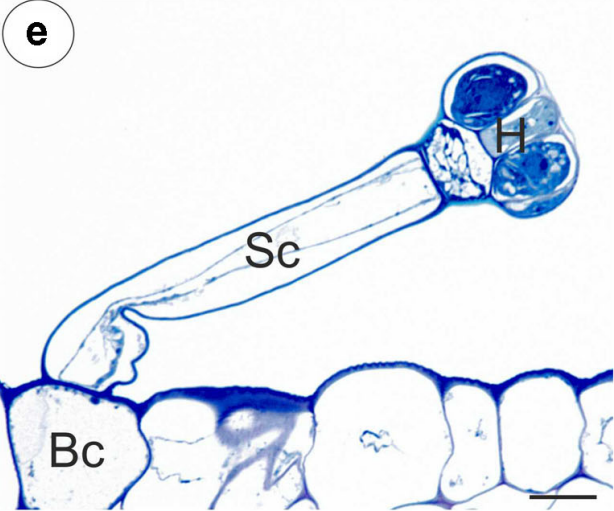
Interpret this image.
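This section shows a capitate glandular trichome arising from the epidermis. It sits on an enlarged, pale basal cell within the row of epidermal cells, which have a thick darkly stained outer wall. Above it a single long, narrow, highly vacuolated stalk cell with thin walls runs obliquely upward. At its tip a short neck cell with folded, darker contents carries a rounded head of a few cells whose dense cytoplasm stains deep blue, unlike the clear stalk and epidermal cells. The head cells are packed together and enclosed by a common outer wall.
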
